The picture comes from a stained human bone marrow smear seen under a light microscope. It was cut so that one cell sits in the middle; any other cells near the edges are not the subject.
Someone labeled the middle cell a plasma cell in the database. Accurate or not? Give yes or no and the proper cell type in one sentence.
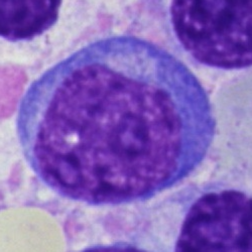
No, this cell in the middle is a proerythroblast, so it is not a plasma cell.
